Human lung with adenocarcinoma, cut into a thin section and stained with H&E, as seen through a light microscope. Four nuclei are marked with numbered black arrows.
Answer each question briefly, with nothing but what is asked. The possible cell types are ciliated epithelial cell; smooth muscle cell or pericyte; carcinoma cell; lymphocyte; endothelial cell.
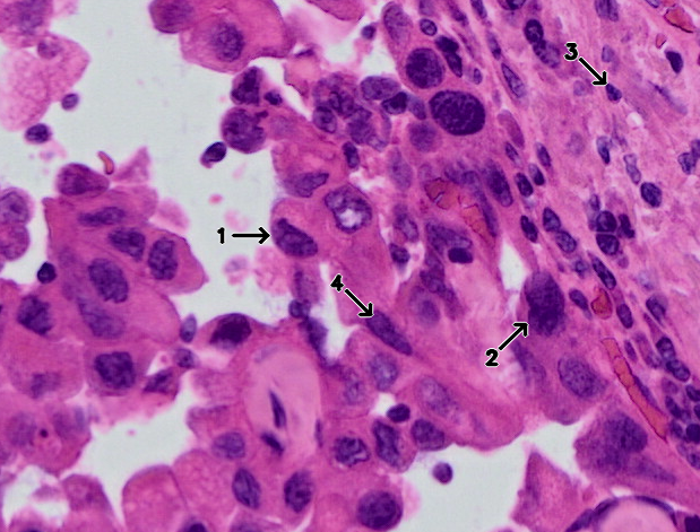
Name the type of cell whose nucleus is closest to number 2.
lymphocyte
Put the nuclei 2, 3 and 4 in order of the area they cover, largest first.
2, 4, 3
